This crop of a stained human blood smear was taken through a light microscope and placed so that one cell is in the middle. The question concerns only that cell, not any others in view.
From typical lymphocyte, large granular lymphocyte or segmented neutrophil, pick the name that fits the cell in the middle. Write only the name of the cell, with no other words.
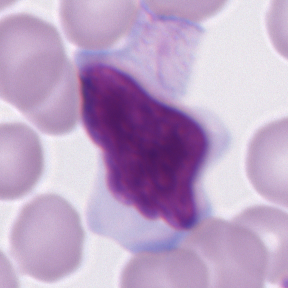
large granular lymphocyte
